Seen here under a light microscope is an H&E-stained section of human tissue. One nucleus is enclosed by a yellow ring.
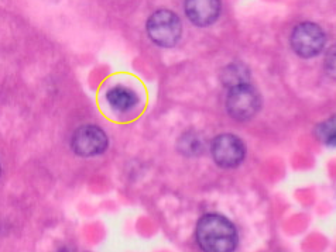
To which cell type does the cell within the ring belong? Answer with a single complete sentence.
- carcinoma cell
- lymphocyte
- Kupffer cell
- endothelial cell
As to its cell type, the cell within the ring is a lymphocyte.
